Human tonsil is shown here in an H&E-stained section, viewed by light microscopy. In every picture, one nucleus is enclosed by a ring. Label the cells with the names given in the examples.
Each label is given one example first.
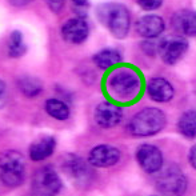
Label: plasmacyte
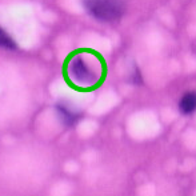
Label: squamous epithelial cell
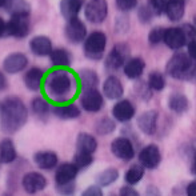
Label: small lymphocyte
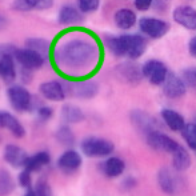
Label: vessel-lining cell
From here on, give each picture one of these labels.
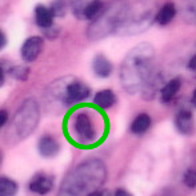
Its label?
vessel-lining cell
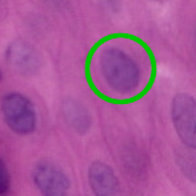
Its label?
squamous epithelial cell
